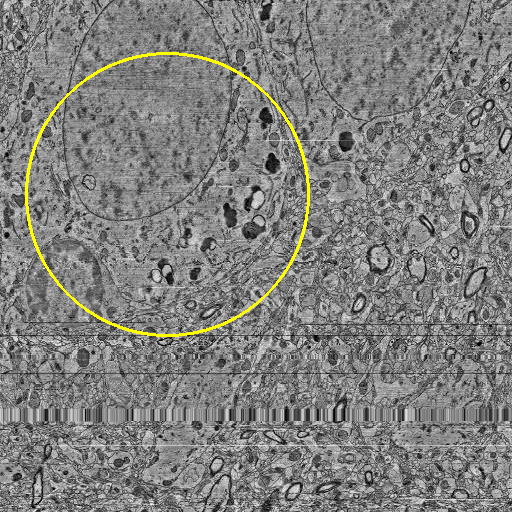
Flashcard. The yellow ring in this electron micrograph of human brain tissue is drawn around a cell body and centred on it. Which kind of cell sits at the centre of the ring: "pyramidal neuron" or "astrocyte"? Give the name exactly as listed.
pyramidal neuron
